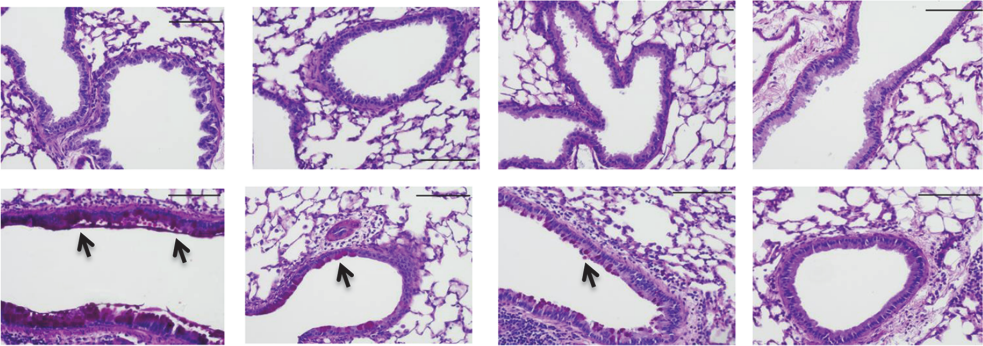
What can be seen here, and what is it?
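Eight fields of lung show airways cut in section, each with the thin-walled alveoli of the surrounding lung around it. The airways are lined by a single layer of cuboidal to columnar epithelial cells with purple nuclei. In several lower fields the lining is taller, and many of its cells hold dark pink-magenta cytoplasm; arrows point at these cells, and crowded nuclei gather in the tissue around some airways.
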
